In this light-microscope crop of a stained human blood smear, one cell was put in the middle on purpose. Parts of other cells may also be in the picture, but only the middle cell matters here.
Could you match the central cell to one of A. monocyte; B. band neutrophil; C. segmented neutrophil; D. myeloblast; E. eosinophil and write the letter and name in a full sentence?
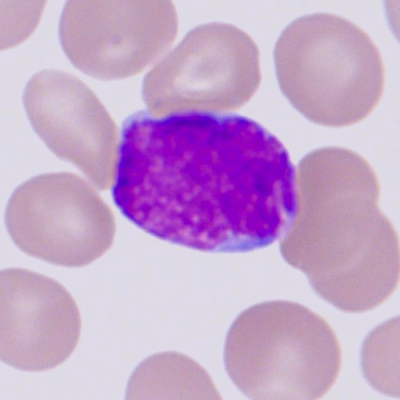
Option D is the correct one; it names the central cell as a myeloblast.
